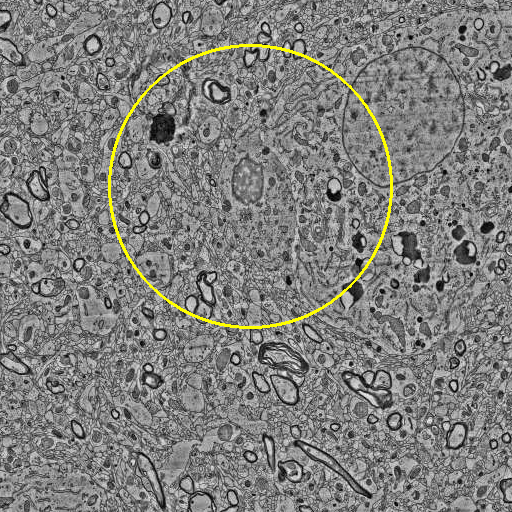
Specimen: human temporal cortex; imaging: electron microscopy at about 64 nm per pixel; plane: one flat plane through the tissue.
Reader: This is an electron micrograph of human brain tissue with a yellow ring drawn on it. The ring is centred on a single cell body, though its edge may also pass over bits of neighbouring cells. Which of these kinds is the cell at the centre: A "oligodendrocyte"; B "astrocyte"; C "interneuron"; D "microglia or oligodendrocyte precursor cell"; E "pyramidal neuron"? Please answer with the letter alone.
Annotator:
A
